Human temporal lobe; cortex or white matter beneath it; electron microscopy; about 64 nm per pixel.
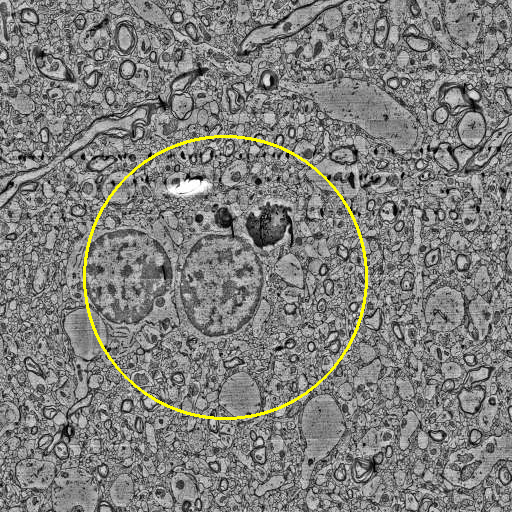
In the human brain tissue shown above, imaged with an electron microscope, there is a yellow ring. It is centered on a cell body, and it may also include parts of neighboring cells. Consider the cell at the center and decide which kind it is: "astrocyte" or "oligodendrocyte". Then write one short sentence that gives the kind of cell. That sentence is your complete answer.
This centered cell body is that of an oligodendrocyte.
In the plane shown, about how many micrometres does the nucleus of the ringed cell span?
In this plane, roughly 7 by 5 micrometres.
